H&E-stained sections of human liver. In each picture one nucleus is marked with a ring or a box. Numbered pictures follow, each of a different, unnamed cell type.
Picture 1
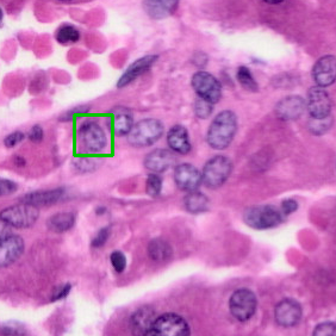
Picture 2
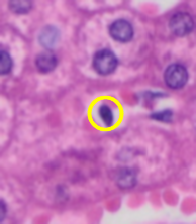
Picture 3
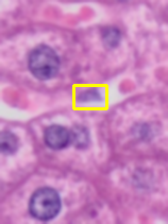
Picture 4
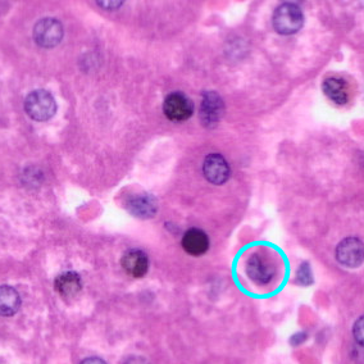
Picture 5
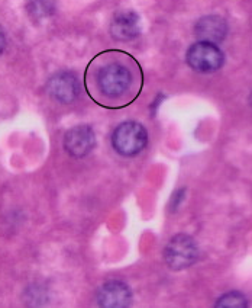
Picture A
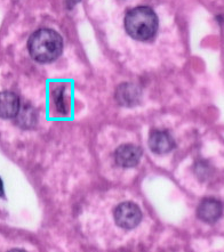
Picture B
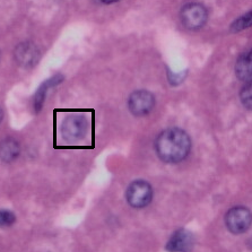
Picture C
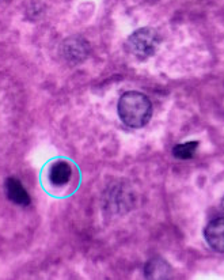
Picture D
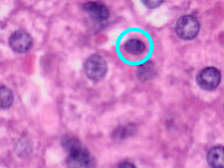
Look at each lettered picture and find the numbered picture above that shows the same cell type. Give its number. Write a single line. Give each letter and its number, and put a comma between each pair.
A 3, B 5, C 2, D 2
